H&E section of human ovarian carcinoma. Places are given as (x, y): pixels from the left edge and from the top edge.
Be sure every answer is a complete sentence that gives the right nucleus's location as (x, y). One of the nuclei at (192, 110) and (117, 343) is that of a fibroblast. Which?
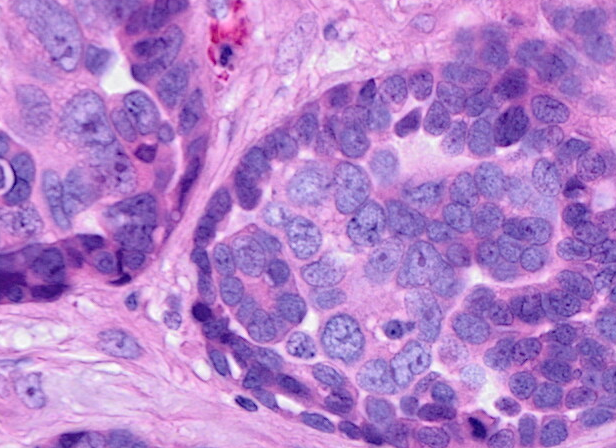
The cell to which the nucleus at (117, 343) belongs is a fibroblast.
